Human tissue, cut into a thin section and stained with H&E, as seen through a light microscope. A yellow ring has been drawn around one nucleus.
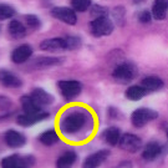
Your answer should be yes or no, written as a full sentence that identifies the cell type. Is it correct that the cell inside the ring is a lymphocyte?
No, the cell inside the ring is classed as a plasma cell, not a lymphocyte.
